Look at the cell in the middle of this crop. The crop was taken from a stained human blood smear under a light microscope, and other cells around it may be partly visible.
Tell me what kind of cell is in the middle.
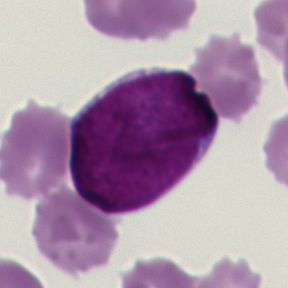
myeloblast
